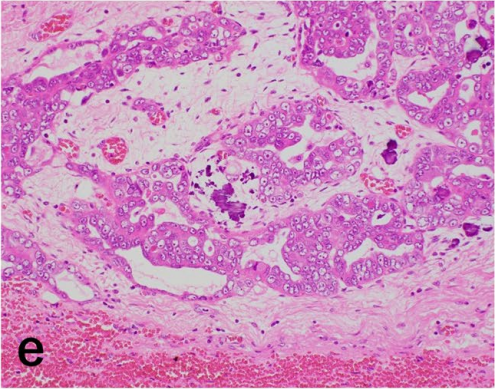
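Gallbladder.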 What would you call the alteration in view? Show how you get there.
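Tumor glands are set in pale fibrous stroma.
Answer: calcification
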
